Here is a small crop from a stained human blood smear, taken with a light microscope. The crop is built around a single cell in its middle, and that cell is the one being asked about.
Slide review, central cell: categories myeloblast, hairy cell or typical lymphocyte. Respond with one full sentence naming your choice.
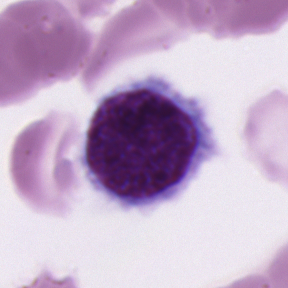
Occupying the centre of the crop is a hairy cell.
